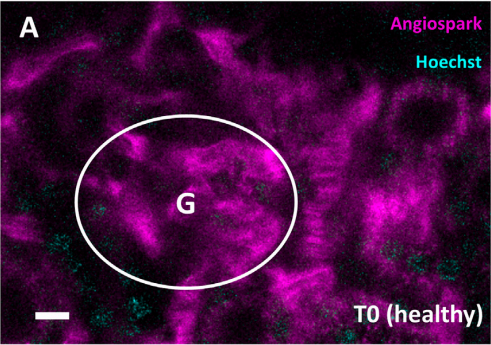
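Inside the circle the magenta forms a tuft of curved, looping strands separated by dark spaces. Faint cyan dots, the nuclei, are scattered within and around the tuft. Around the glomerulus lie further magenta-outlined vessels and tubule profiles, some with dark rounded lumens. The magenta within the tuft is of moderate brightness, with no bright spill beyond the loops.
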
